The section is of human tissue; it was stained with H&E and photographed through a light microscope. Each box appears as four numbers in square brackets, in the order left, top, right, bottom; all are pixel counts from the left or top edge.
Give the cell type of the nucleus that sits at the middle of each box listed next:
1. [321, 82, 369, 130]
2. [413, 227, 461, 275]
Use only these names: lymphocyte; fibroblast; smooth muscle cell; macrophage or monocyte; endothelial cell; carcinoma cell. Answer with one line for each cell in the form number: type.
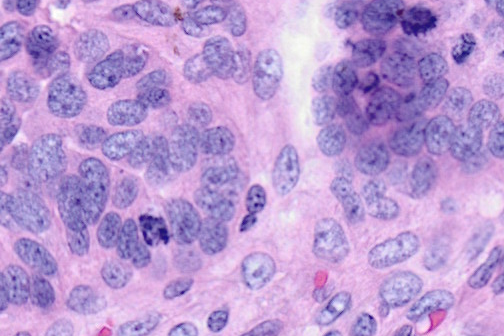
1: carcinoma cell
2: fibroblast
